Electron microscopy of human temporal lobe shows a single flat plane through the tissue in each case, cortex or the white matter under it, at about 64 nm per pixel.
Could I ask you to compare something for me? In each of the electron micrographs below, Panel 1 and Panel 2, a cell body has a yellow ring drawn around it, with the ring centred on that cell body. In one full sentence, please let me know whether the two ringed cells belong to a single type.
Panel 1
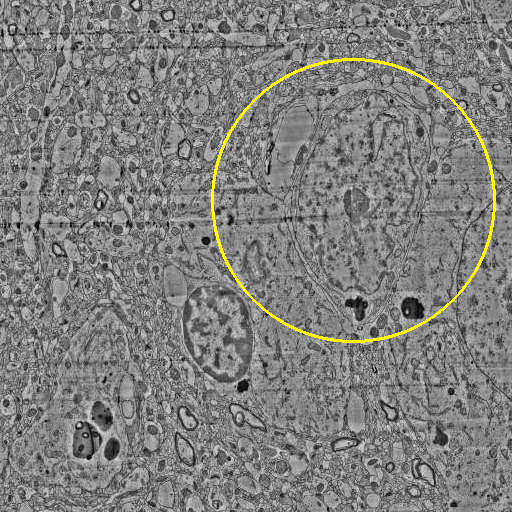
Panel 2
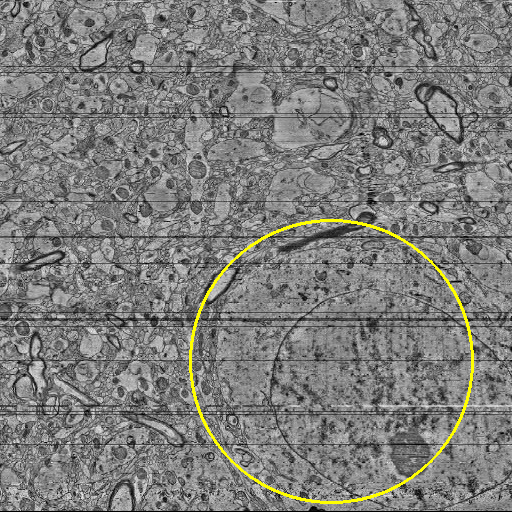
No, the two cells at the centres of the rings are of two types.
